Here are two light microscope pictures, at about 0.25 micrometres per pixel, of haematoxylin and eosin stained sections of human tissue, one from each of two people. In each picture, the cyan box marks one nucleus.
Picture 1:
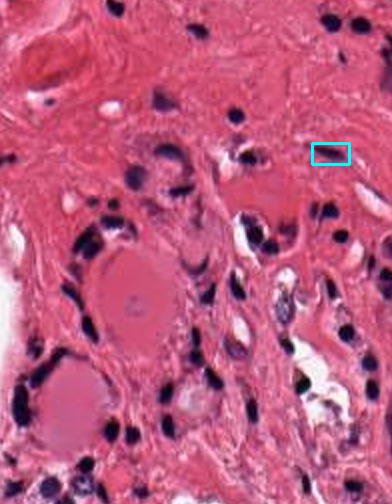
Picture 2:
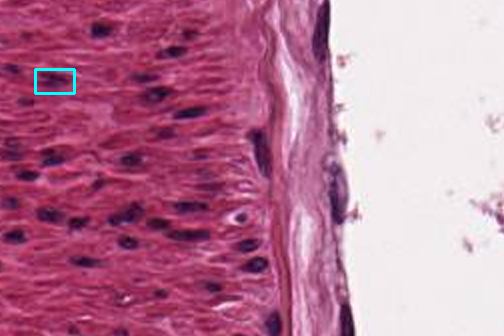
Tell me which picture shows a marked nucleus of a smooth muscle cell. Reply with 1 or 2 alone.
2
